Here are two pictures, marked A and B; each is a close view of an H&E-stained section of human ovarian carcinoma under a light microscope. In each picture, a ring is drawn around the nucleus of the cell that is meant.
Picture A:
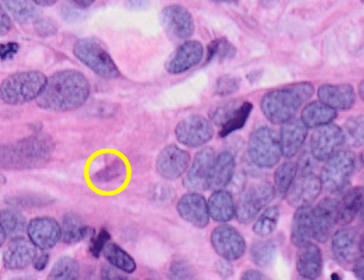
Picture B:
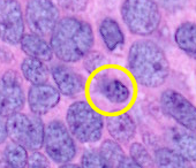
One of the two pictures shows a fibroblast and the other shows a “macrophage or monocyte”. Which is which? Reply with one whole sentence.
The cell in picture A is a fibroblast, and the one in picture B is a “macrophage or monocyte”.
